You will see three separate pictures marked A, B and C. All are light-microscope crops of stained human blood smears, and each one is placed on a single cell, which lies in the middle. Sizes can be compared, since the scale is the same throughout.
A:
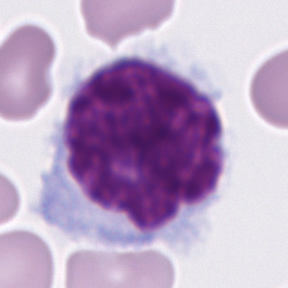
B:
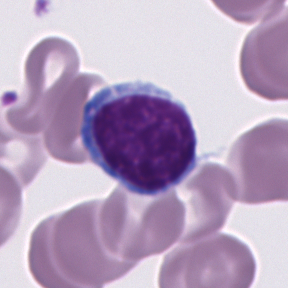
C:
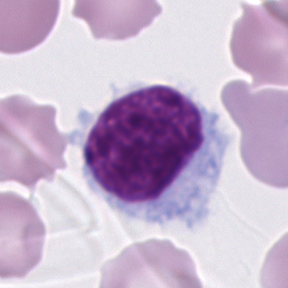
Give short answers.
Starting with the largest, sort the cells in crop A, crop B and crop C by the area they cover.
A, C, B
